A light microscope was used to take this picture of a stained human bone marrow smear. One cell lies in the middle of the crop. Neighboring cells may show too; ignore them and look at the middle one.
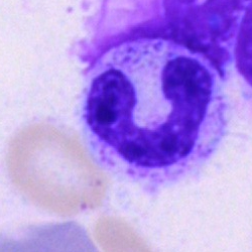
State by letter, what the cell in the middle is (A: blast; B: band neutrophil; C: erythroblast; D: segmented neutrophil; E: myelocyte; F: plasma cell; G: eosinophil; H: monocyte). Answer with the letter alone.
B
